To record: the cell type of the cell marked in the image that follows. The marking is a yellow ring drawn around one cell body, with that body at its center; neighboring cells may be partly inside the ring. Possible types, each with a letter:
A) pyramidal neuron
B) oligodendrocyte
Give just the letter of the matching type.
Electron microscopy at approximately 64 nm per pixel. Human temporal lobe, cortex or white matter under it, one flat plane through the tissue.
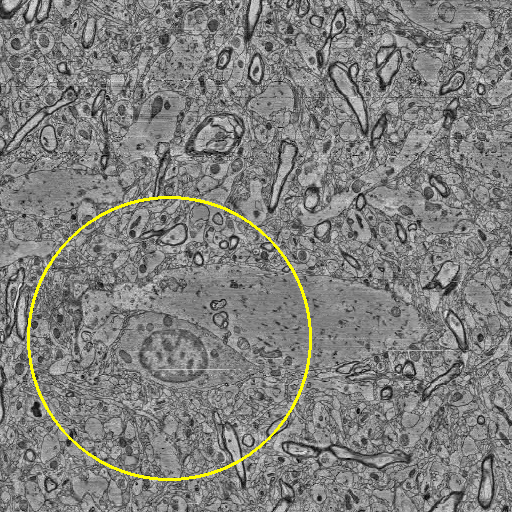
B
